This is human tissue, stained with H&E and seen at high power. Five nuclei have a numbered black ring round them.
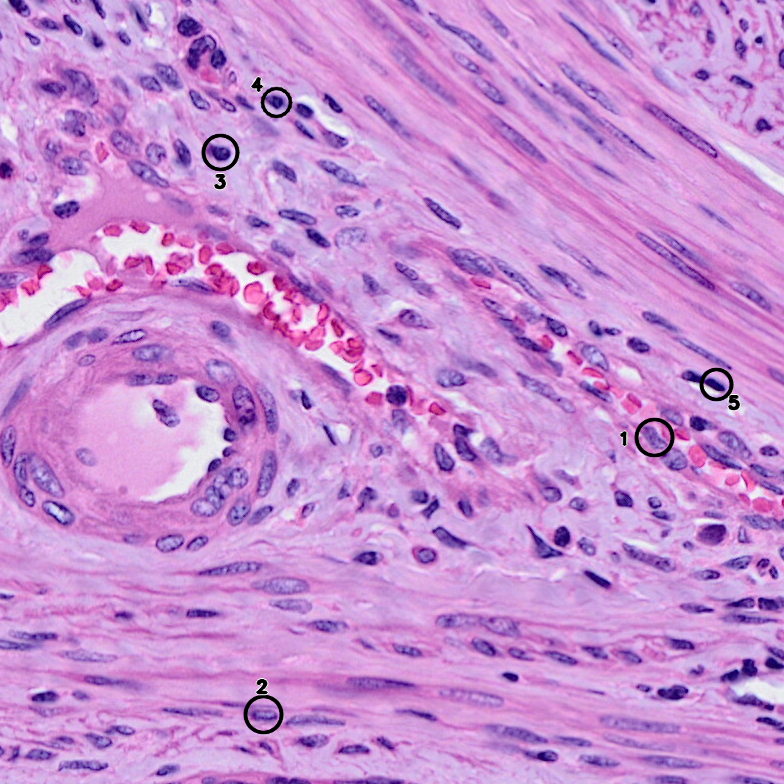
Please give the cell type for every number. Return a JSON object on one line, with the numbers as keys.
{"1": "endothelial cell", "2": "smooth muscle cell", "3": "lymphocyte", "4": "lymphocyte", "5": "lymphocyte"}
